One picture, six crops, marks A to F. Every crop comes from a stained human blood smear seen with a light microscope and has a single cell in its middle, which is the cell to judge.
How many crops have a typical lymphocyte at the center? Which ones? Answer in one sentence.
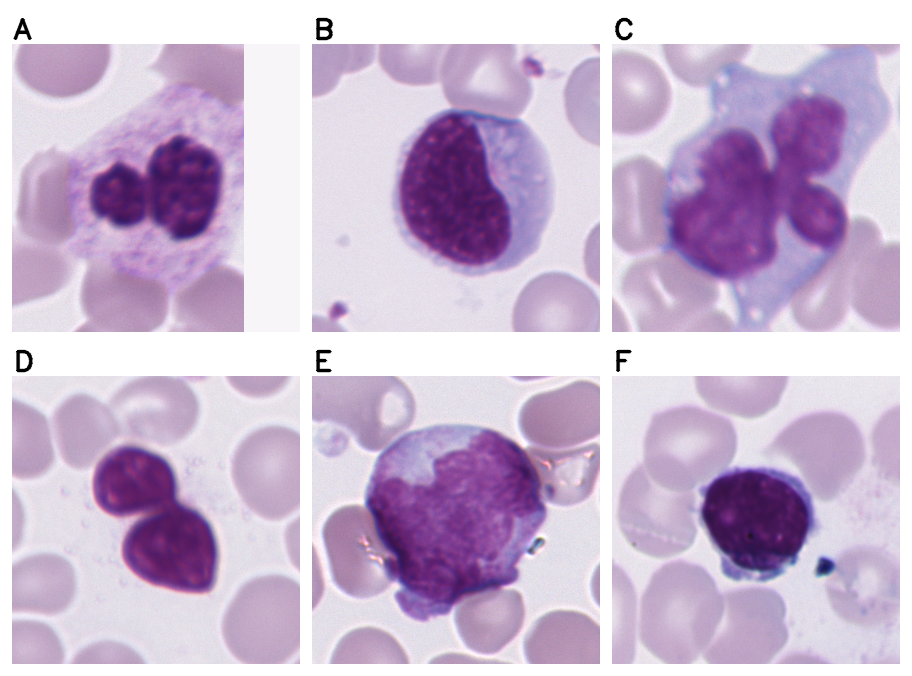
Crops B and F, a group of two, show typical lymphocytes.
